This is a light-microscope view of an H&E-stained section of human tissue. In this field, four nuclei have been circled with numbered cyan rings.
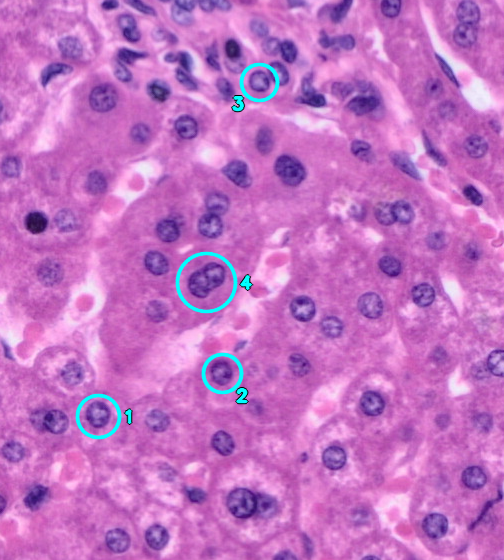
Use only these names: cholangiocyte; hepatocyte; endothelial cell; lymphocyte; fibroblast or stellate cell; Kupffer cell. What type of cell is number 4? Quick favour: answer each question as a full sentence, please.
What the number 4 marks in this field is a hepatocyte.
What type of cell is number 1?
Numbered cell 1 is a hepatocyte in this tissue section.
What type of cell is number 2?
The cell indicated by marker 2 is a hepatocyte in this section.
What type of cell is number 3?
The numeral 3 marks a cholangiocyte in this section.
